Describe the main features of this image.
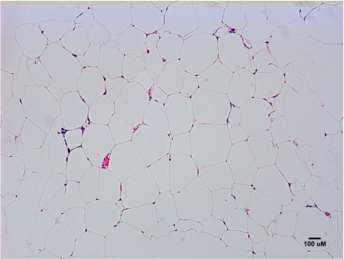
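This section shows white fat tissue made almost entirely of large adipocytes. Each cell appears as a wide, empty, clear space, because its single large lipid droplet is lost during processing, bounded by a thin pink rim. The cells are polygonal where they press against one another, giving a honeycomb pattern across the field. Small dark purple nuclei lie flattened at the edges of the cells, and a few small clusters of red blood cells appear between them. The adipocytes here are generally large and fairly uniform in size.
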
